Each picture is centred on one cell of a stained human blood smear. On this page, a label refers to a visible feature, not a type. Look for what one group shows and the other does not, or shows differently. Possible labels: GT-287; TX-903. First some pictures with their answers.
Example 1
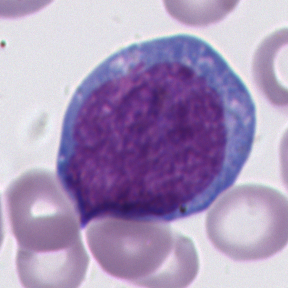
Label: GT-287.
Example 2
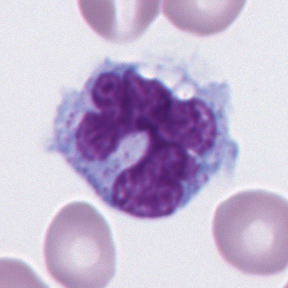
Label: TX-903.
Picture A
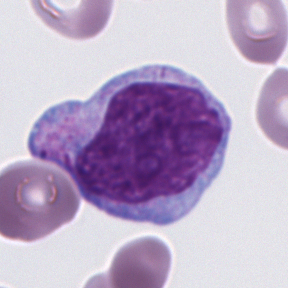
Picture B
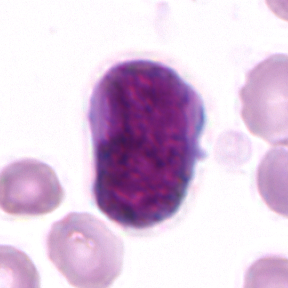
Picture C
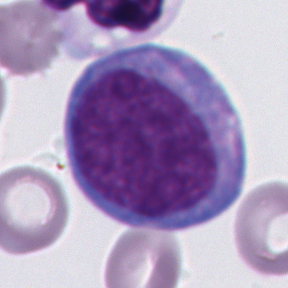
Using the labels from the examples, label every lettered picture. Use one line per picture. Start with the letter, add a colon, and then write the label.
A: TX-903.
B: TX-903.
C: GT-287.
